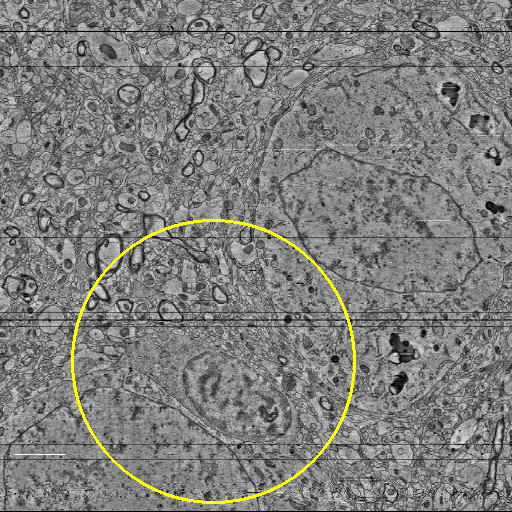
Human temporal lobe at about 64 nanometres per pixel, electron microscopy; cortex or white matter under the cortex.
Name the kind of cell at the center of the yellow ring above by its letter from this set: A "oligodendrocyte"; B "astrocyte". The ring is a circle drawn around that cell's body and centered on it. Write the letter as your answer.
A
